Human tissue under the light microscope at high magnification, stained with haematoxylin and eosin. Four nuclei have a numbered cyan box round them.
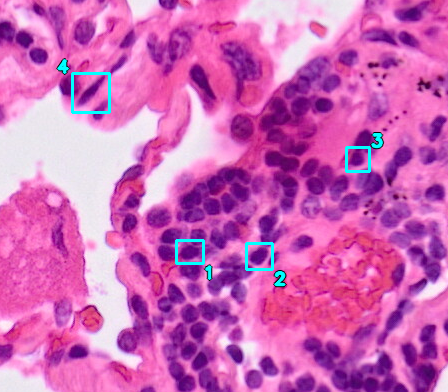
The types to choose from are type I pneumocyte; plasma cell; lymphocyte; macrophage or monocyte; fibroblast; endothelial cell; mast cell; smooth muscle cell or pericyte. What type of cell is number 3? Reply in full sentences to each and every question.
The cell with the number 3 is a lymphocyte.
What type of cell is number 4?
The cell carrying label 4 is identified as an endothelial cell.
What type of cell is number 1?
In the tissue shown, cell 1 is a lymphocyte.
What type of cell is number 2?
The cell referred to as 2 is a lymphocyte.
